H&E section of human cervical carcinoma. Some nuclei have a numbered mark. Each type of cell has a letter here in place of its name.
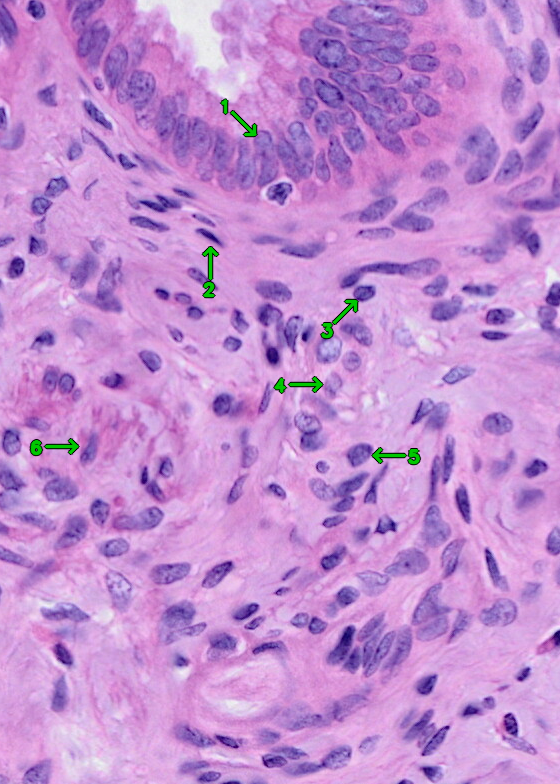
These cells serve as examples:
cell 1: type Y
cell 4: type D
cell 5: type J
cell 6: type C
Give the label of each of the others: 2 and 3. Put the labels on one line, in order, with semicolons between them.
type J; type J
